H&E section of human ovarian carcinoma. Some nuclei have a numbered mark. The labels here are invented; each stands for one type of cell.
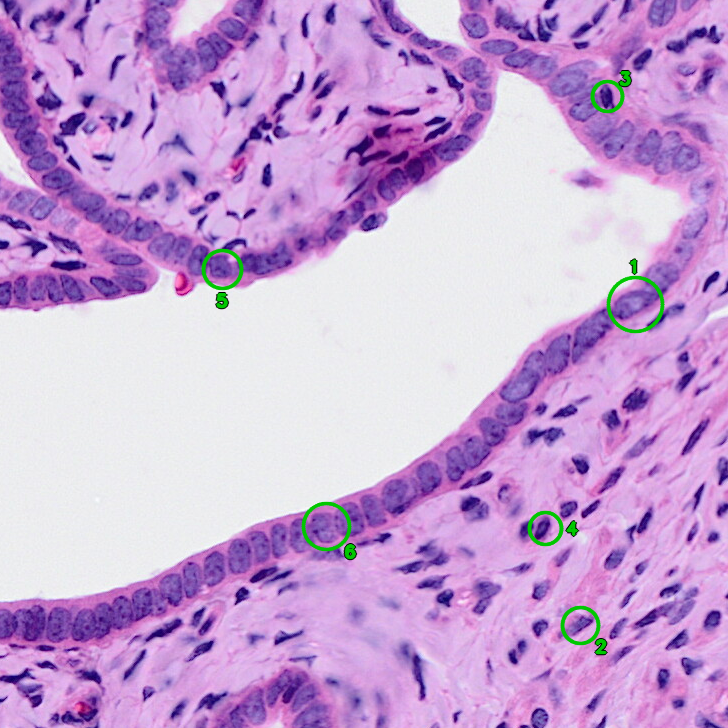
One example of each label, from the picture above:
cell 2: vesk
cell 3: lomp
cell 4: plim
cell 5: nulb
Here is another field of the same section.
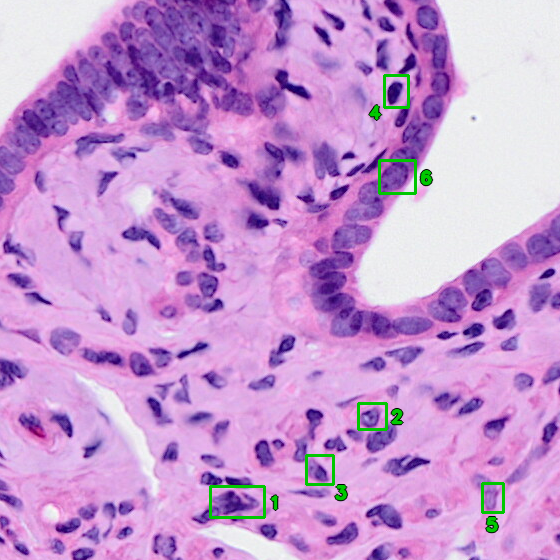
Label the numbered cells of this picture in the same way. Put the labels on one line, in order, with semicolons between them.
plim; plim; vesk; lomp; vesk; nulb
